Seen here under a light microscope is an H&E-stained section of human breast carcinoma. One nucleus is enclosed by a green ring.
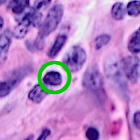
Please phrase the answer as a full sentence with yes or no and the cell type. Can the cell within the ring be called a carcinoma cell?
No, not quite: the cell within the ring is a lymphocyte rather than a carcinoma cell.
